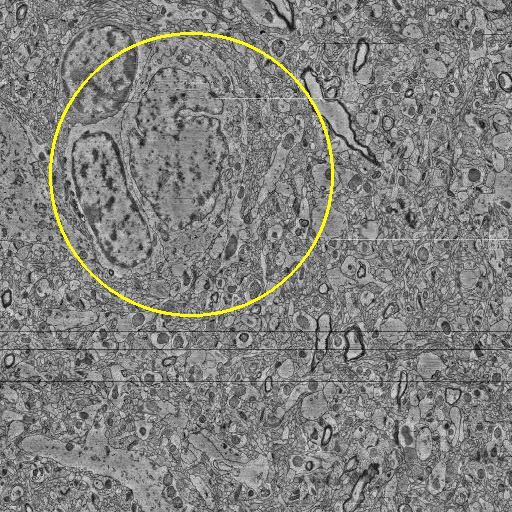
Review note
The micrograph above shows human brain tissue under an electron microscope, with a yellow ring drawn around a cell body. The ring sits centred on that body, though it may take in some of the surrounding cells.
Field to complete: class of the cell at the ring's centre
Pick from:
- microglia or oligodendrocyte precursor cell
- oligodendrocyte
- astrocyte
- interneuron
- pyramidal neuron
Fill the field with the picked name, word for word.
interneuron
